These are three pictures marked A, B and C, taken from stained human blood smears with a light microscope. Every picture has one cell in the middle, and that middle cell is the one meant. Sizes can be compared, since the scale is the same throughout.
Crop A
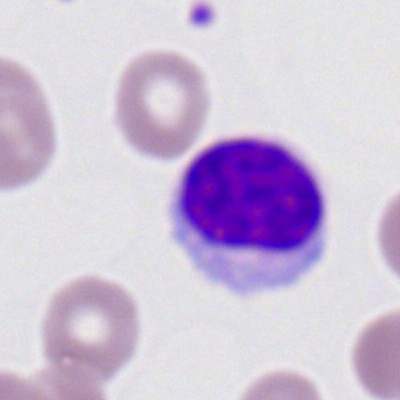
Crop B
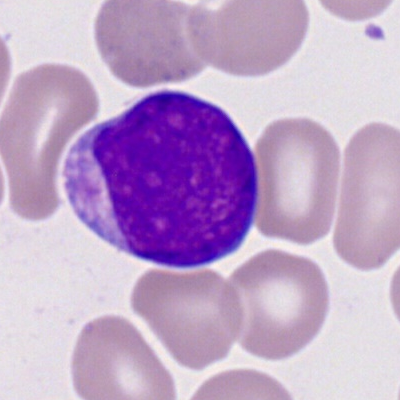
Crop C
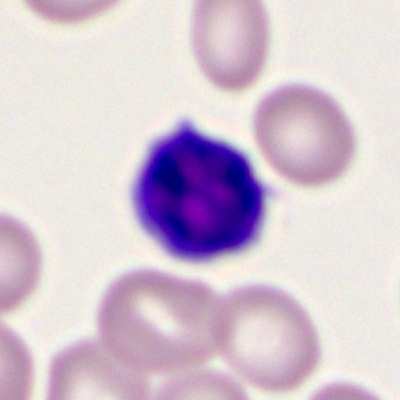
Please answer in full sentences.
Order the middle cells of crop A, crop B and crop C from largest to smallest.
Going down, they run B, A, C.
